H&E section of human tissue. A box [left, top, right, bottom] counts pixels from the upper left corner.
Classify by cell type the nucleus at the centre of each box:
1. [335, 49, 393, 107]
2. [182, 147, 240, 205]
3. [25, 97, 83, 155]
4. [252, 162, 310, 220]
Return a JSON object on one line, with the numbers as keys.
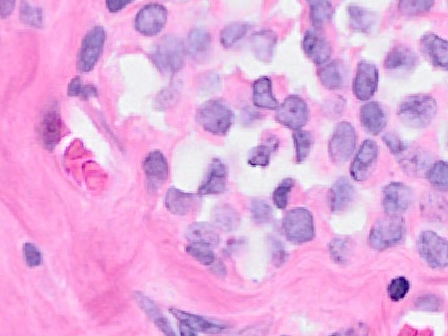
{"1": "carcinoma cell", "2": "carcinoma cell", "3": "endothelial cell", "4": "carcinoma cell"}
